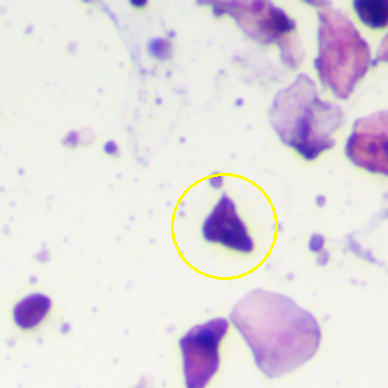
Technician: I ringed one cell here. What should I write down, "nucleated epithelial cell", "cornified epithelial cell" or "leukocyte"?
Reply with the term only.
nucleated epithelial cell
